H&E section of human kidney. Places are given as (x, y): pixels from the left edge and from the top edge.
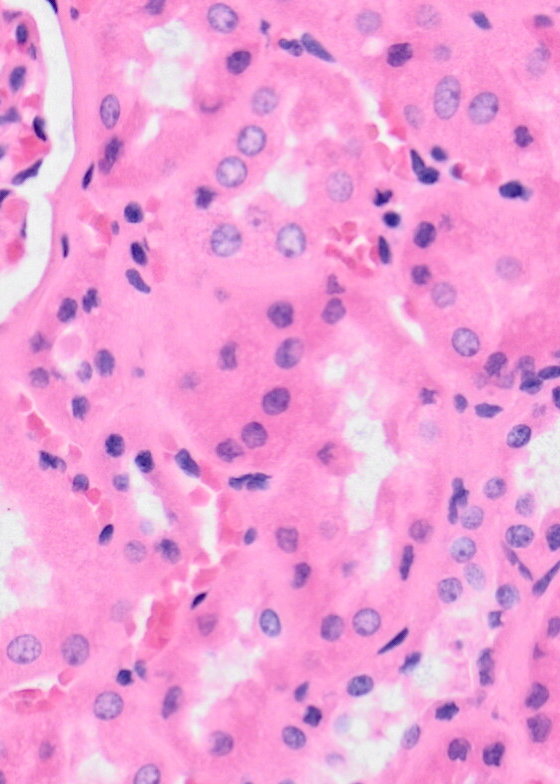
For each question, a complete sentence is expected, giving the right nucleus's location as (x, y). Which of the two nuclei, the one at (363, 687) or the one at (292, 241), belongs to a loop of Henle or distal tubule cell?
The nucleus at (363, 687) is the member of the pair belonging to a loop of Henle or distal tubule cell.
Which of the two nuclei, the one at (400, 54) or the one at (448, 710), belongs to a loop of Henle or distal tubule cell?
The nucleus at (448, 710) is attributed to a loop of Henle or distal tubule cell, unlike the other nucleus.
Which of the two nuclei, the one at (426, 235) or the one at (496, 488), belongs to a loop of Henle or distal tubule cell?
The nucleus at (496, 488) is assigned to a loop of Henle or distal tubule cell.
